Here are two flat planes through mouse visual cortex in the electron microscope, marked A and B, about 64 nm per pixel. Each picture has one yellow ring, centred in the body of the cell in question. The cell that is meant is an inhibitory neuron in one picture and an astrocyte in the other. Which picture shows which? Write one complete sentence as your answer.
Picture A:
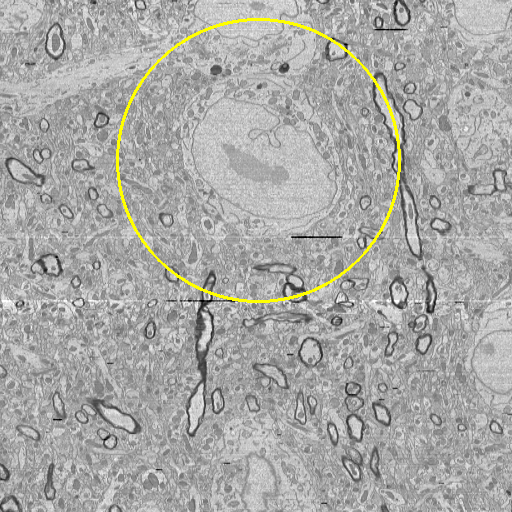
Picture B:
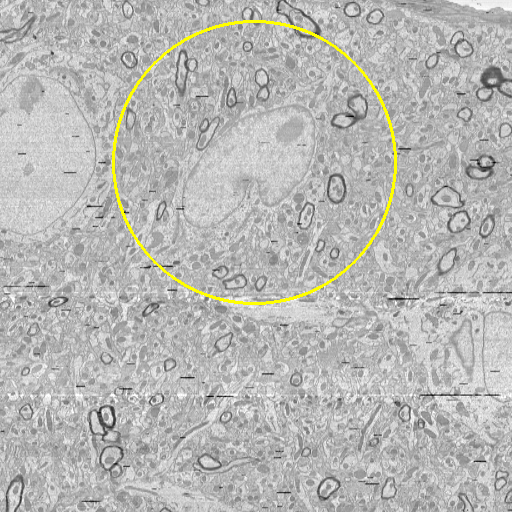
Picture A is of an inhibitory neuron, and picture B is of an astrocyte.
